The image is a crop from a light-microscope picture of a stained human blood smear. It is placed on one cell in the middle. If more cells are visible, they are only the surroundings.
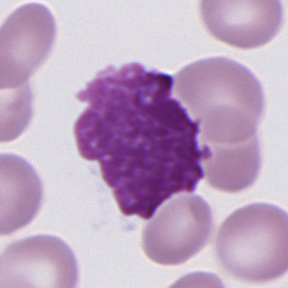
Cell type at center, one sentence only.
The cell nearest the centre of this crop is a smudge cell.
